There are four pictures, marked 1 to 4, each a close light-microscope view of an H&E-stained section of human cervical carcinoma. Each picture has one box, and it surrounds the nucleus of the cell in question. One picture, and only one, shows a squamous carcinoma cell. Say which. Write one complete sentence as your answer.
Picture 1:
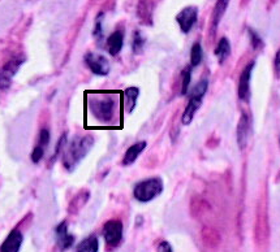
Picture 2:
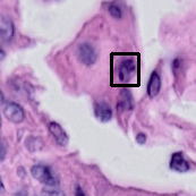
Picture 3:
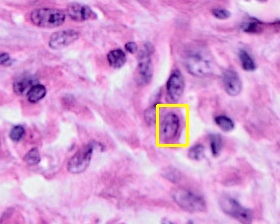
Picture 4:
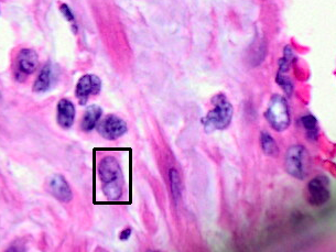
Picture 2 shows the squamous carcinoma cell.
